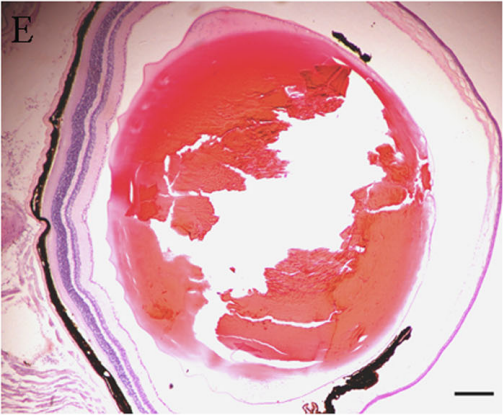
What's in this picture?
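A section through the eye shows a large, cracked pink lens in the centre and the retina curving around it on the left. The retina is built of distinct layers, with two broad, evenly thick bands of densely packed purple nuclei running along its length. Outside the retina lies a continuous black pigmented layer and then the thin outer coats of the eye. The layering is intact and of even thickness, as in a normal retina with its photoreceptor cells and segments in place.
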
